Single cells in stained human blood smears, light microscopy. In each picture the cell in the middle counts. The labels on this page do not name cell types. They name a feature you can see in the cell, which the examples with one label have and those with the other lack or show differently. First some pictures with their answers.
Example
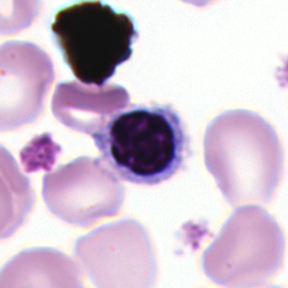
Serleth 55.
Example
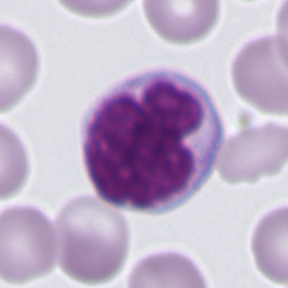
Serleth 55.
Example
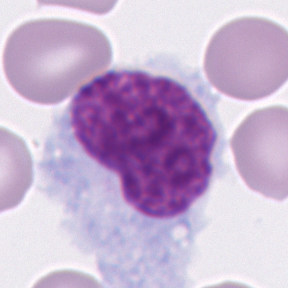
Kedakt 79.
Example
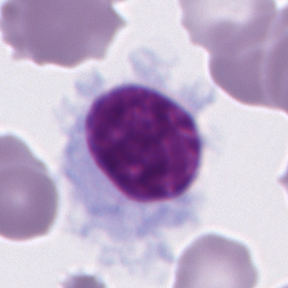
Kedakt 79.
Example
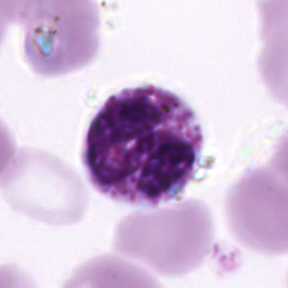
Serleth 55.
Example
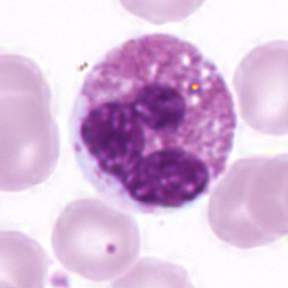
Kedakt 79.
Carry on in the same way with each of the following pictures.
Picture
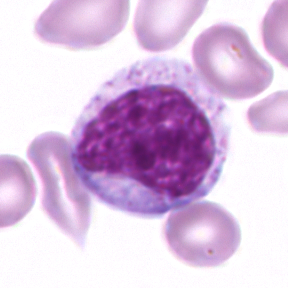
Serleth 55.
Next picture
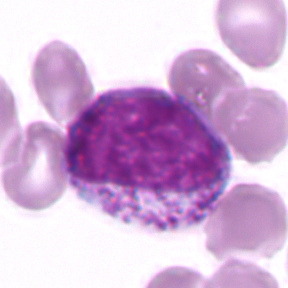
Serleth 55.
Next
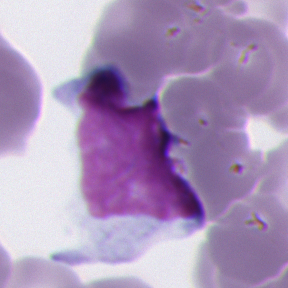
Serleth 55.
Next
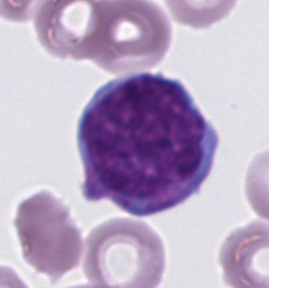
Serleth 55.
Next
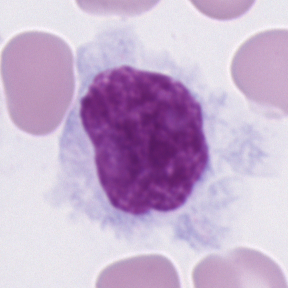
Kedakt 79.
